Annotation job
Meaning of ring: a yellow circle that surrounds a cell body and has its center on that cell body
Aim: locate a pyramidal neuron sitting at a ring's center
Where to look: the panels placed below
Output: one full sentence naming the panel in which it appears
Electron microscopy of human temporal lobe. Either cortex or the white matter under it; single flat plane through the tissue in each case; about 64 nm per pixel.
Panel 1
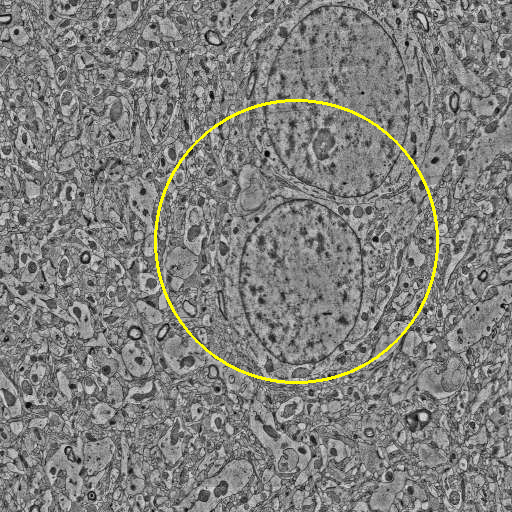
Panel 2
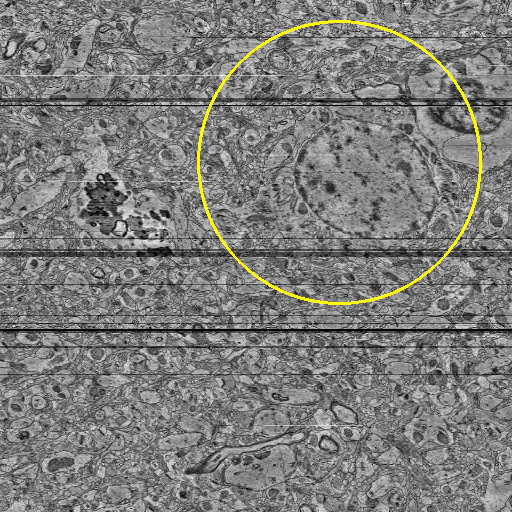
The cell at the center of the ring in panel 1 is the one sought.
